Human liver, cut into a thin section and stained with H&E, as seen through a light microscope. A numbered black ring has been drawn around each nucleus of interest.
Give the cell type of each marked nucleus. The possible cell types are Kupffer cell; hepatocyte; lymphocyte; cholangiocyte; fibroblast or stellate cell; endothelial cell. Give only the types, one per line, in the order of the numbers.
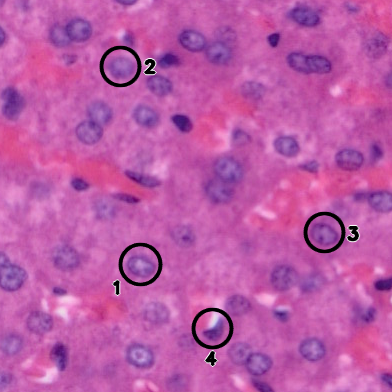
hepatocyte
hepatocyte
hepatocyte
endothelial cell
